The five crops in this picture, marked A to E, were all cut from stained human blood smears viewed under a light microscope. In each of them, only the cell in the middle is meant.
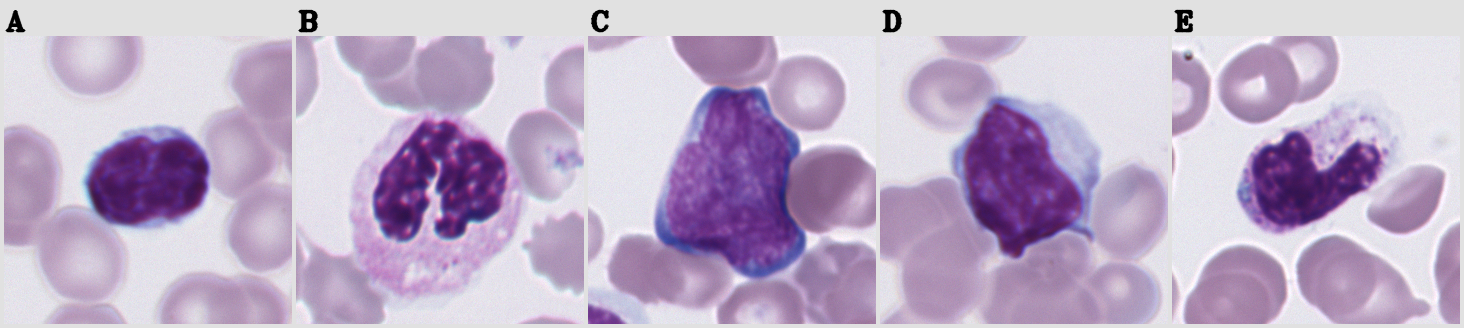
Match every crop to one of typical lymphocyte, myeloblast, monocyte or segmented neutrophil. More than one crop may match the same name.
A: typical lymphocyte
B: segmented neutrophil
C: myeloblast
D: typical lymphocyte
E: segmented neutrophil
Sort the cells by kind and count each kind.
typical lymphocyte: 2
segmented neutrophil: 2
myeloblast: 1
